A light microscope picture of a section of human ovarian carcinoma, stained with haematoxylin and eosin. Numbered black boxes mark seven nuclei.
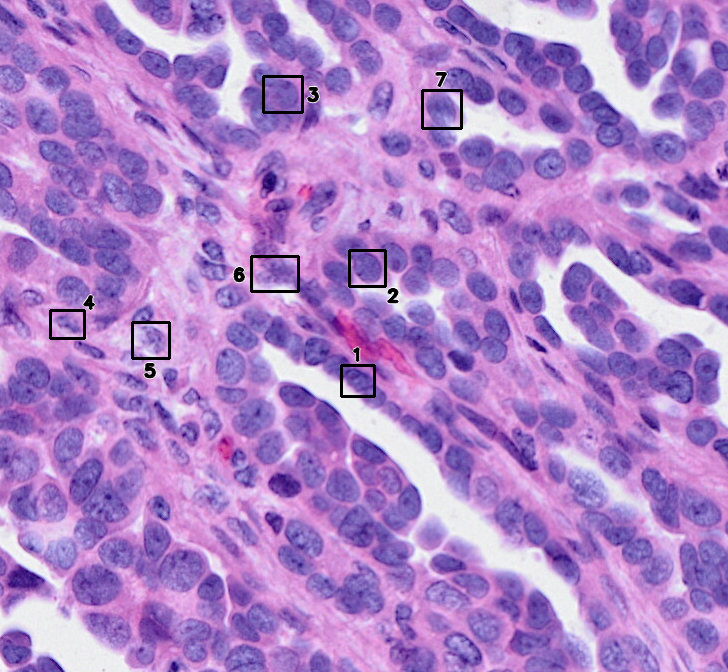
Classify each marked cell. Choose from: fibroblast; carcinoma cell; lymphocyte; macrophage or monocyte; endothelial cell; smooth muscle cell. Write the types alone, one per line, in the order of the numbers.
carcinoma cell
carcinoma cell
carcinoma cell
fibroblast
fibroblast
fibroblast
carcinoma cell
